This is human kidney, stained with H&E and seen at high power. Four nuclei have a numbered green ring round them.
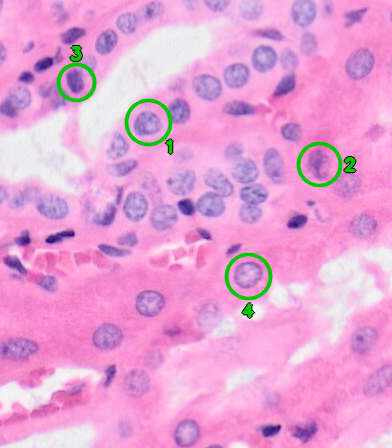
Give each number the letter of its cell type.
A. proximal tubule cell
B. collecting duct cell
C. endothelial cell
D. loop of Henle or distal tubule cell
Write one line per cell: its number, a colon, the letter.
1: B
2: A
3: B
4: A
